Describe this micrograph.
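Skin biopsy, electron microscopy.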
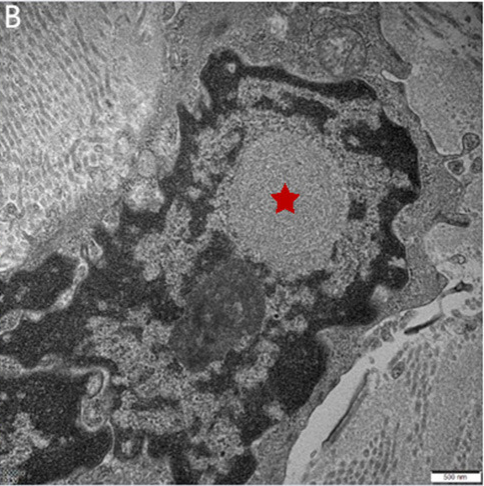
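This electron micrograph shows a single nucleus with dark clumped chromatin along its irregular, folded envelope. In its centre lies a round, pale grey, finely filamentous body that has no bounding membrane and stands apart from the surrounding chromatin. Collagen fibrils in cross and longitudinal section fill the space outside the cell.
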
